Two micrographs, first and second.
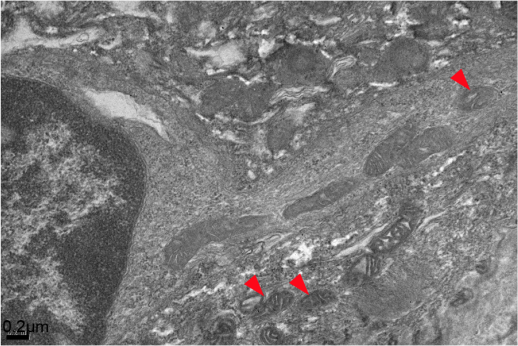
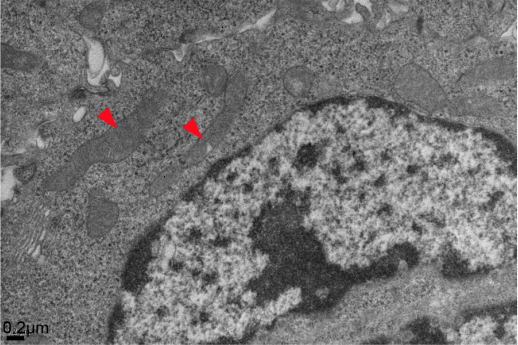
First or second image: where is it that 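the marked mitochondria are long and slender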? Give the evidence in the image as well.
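First image: the marked organelles are small and roundish. Second image: the marked organelles are elongated. The answer: the second image.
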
